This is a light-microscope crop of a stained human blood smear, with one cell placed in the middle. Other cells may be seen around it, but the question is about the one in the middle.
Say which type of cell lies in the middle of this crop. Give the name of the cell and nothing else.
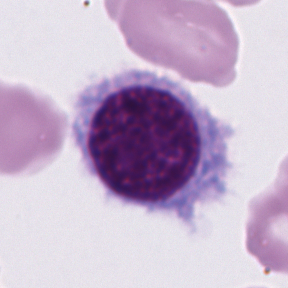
hairy cell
